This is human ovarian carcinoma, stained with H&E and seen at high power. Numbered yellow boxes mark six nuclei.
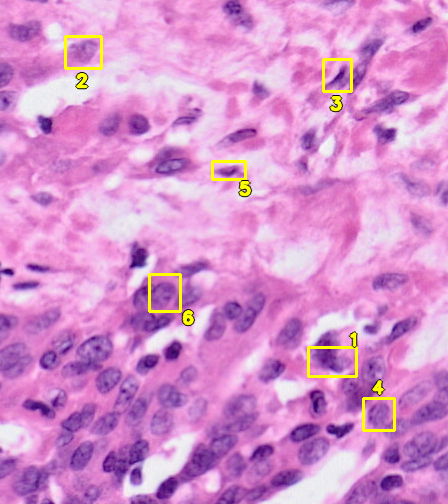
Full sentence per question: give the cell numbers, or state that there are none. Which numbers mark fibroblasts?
The cells 2, 3 and 5 in this section are fibroblasts.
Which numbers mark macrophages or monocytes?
Among the numbered nuclei, only the one labelled 4 belongs to a macrophage or monocyte.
